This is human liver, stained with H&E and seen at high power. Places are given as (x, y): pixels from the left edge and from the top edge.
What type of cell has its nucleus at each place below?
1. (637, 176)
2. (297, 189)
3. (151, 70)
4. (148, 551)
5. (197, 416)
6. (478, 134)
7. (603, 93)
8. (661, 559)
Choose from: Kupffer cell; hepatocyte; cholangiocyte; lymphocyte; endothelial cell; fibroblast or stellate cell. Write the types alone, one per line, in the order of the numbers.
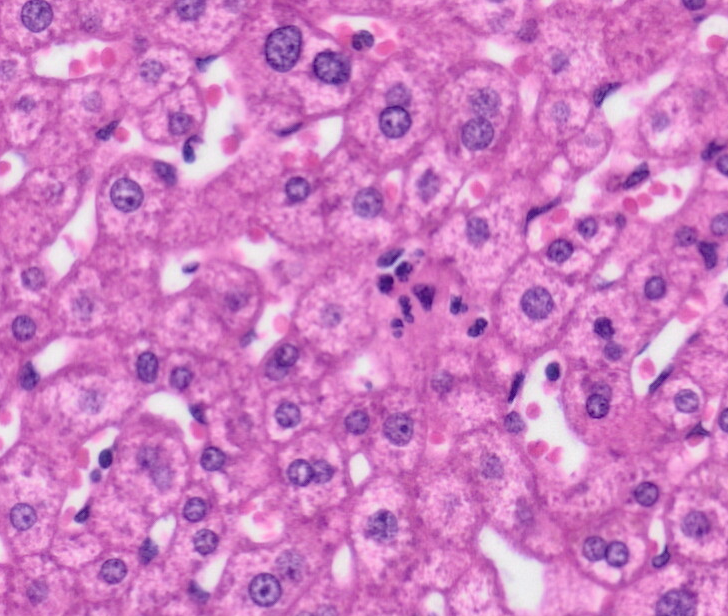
Kupffer cell
hepatocyte
hepatocyte
endothelial cell
endothelial cell
hepatocyte
endothelial cell
endothelial cell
